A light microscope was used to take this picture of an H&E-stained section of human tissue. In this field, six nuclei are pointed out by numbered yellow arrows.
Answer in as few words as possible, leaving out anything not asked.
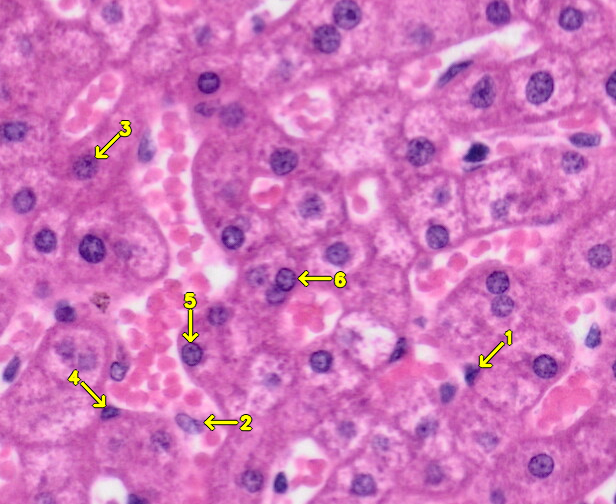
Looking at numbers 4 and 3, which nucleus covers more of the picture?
3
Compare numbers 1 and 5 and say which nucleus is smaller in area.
1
